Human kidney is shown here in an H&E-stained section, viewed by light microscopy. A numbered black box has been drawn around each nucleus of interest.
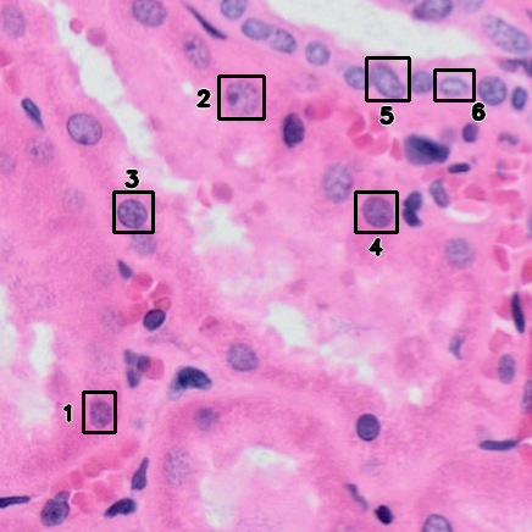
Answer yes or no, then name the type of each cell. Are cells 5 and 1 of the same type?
No, cell 5 is a collecting duct cell and cell 1 is a proximal tubule cell.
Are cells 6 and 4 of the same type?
No, cell 6 is a collecting duct cell and cell 4 is a proximal tubule cell.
